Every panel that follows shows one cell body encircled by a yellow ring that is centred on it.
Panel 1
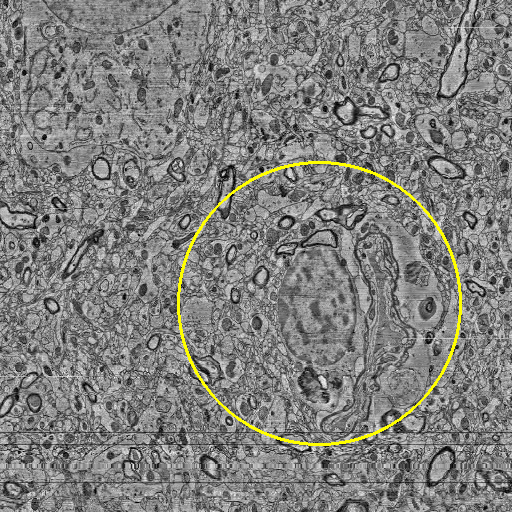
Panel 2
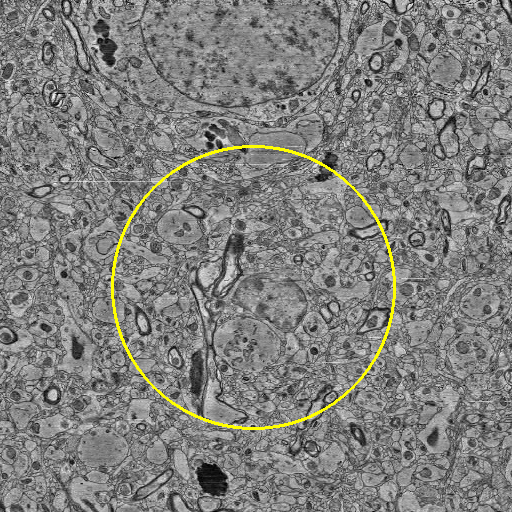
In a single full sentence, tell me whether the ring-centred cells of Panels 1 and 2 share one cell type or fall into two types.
In Panel 1 and Panel 2, the cells at the ring centres share one cell type.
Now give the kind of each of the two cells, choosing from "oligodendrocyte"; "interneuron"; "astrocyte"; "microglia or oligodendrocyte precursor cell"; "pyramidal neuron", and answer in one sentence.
The second cell is an oligodendrocyte, just as the first is.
